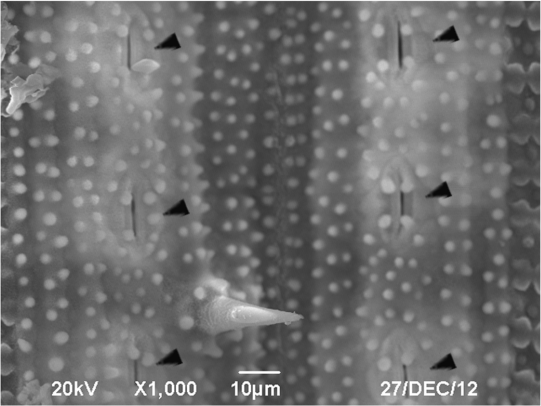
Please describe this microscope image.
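Scanning electron view of a leaf epidermis with stomata arranged in longitudinal files, each appearing as a slit-like pore aligned with the leaf axis. Between them the surface bears dense rows of small rounded papillae, and a single pointed, cone-shaped projection rises from the surface near the lower middle.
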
